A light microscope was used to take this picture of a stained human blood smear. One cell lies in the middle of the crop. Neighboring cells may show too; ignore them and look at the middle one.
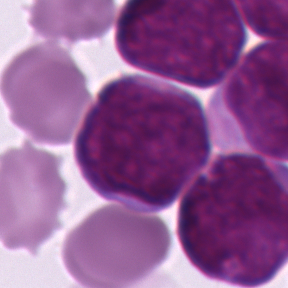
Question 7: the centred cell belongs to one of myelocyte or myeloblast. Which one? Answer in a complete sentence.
The cell marked by its central position in the crop is a myeloblast.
